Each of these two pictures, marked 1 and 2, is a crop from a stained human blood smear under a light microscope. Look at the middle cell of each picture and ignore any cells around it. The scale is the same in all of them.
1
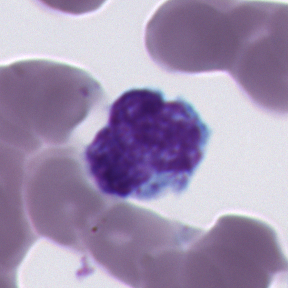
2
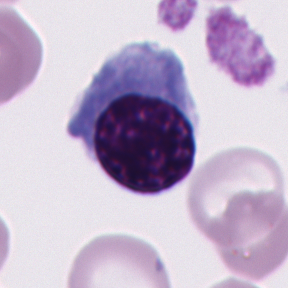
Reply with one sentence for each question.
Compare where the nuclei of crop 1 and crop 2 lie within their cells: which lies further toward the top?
It is the nucleus in crop 1 that lies further toward the top of its cell.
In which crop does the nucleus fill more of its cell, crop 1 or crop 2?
It is the cell in crop 1 that is filled more by its nucleus.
